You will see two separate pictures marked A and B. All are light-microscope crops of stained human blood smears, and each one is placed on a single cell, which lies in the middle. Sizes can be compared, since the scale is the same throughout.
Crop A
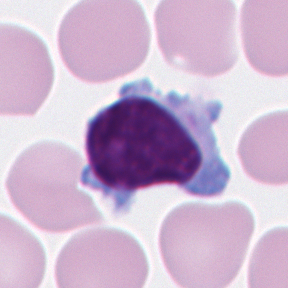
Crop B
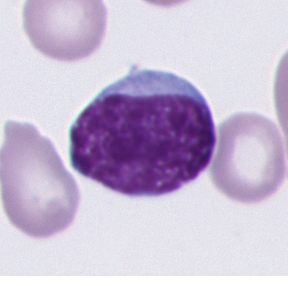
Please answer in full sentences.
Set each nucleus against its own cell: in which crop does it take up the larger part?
The nucleus fills more of the cell in crop B than in crop A.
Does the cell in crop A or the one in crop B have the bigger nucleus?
The nucleus in crop B is larger, with about 1.5 times the area of the one in crop A.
